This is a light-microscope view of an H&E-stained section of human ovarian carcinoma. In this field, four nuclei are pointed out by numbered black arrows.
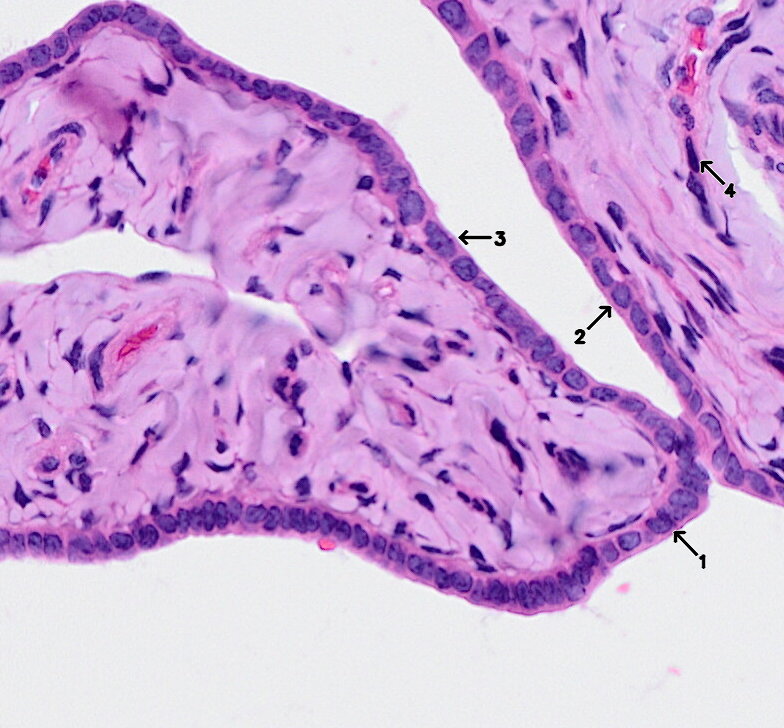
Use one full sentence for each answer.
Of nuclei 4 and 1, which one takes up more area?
Nucleus 1 covers more area, about 1.5 times as much as nucleus 4.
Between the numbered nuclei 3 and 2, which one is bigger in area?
Number 3 is larger; its area is about 2 times that of number 2.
